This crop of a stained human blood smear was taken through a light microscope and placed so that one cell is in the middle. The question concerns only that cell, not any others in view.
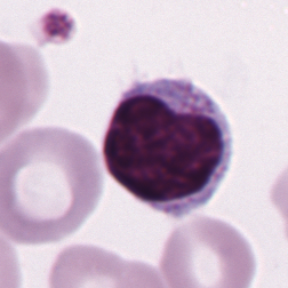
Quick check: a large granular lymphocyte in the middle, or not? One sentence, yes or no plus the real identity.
Yes, the cell centred in the field of view is a large granular lymphocyte.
